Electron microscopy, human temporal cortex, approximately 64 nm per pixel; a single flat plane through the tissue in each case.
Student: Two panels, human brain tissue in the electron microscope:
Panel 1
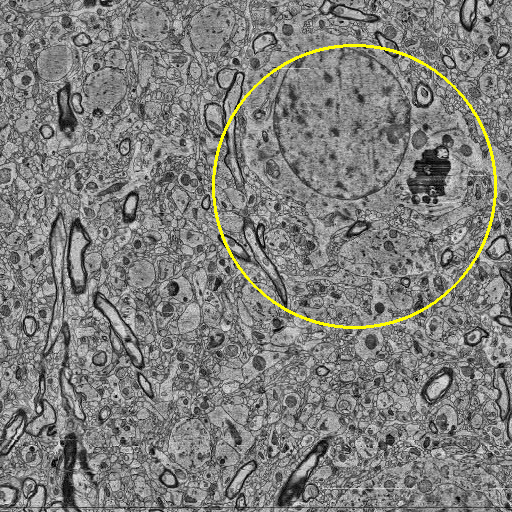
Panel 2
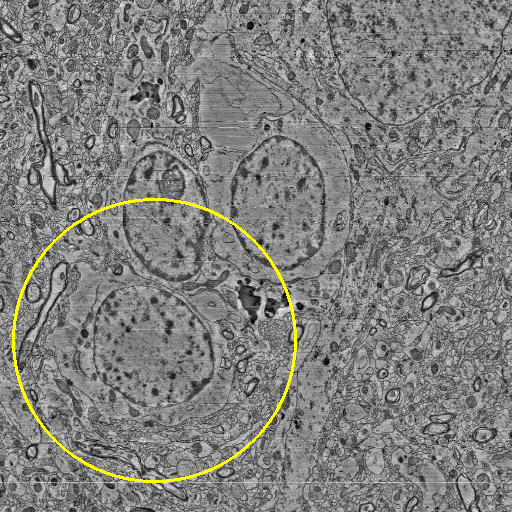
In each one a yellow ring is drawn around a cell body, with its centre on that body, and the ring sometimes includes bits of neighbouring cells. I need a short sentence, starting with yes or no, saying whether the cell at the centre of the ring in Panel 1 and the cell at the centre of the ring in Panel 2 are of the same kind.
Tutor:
Yes, they are the same kind of cell.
